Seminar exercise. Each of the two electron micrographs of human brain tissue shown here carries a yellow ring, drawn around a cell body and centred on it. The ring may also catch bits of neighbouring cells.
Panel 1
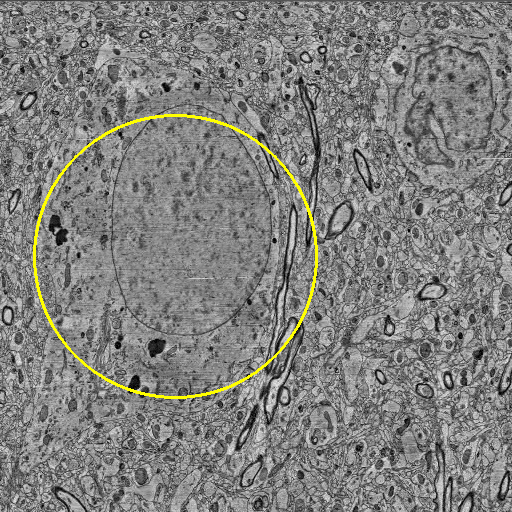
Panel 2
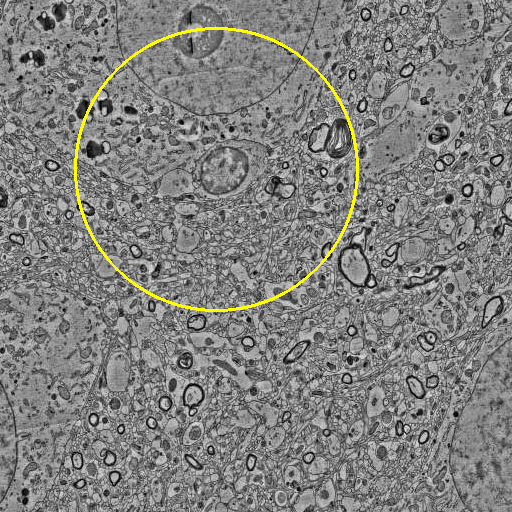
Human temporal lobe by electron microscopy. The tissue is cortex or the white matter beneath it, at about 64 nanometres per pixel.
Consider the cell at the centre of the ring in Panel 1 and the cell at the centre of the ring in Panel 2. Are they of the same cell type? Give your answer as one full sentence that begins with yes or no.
No, the two cells are of two types.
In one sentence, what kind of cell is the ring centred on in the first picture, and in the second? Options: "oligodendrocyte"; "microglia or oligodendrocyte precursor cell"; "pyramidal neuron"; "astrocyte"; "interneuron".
The cell at the centre of the second ring is an oligodendrocyte; the first ring's cell is a pyramidal neuron.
